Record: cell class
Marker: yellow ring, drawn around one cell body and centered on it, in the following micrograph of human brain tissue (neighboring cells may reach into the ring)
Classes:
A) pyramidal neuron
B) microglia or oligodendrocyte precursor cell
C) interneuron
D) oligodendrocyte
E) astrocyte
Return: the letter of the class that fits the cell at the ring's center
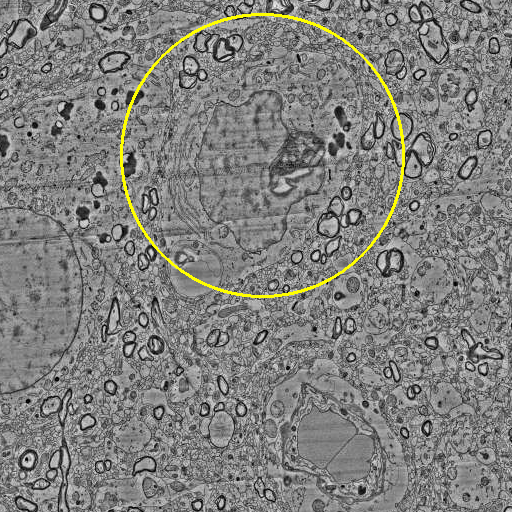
C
